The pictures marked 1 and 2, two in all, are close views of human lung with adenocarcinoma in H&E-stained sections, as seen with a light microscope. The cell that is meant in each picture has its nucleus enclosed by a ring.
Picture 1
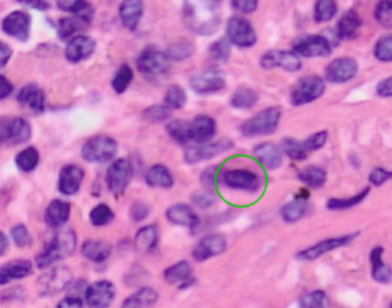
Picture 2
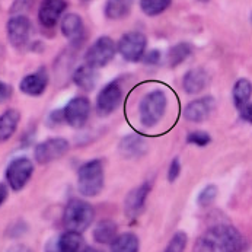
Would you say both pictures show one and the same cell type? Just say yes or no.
no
